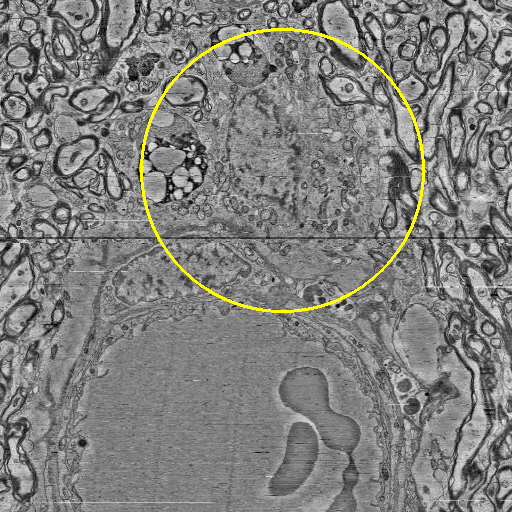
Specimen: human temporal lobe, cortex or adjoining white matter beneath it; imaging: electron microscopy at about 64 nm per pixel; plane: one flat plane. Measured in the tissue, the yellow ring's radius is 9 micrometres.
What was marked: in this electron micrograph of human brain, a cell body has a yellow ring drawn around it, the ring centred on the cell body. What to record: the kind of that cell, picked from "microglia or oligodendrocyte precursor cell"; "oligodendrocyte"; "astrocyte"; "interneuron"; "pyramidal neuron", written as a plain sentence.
The centred cell is an astrocyte.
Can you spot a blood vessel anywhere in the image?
Yes, the picture includes a blood vessel.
